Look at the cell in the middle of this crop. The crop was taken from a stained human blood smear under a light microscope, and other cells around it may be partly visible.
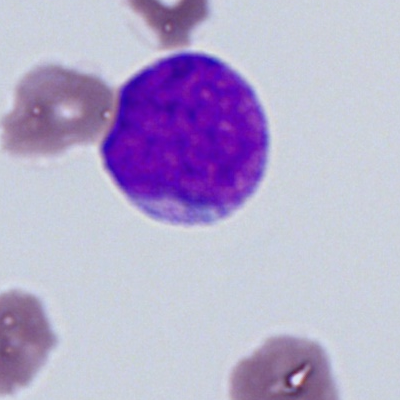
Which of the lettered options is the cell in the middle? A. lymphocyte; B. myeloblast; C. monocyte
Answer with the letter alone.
B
